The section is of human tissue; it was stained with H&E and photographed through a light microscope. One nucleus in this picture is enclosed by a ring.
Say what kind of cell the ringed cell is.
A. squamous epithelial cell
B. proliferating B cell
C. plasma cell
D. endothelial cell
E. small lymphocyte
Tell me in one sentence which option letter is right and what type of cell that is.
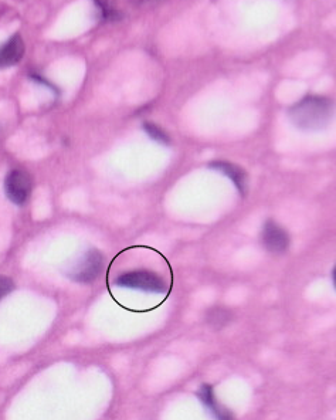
The proper choice here is A: the ringed cell is a squamous epithelial cell.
